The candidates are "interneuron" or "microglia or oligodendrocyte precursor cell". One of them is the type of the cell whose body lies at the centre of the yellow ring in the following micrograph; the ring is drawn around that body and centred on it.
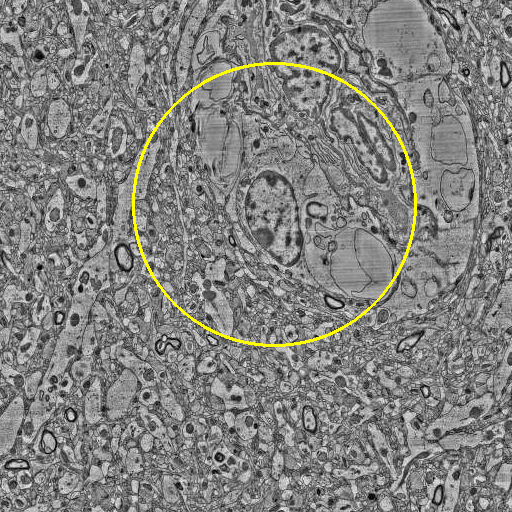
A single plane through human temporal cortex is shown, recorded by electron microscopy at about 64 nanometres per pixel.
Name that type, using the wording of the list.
microglia or oligodendrocyte precursor cell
